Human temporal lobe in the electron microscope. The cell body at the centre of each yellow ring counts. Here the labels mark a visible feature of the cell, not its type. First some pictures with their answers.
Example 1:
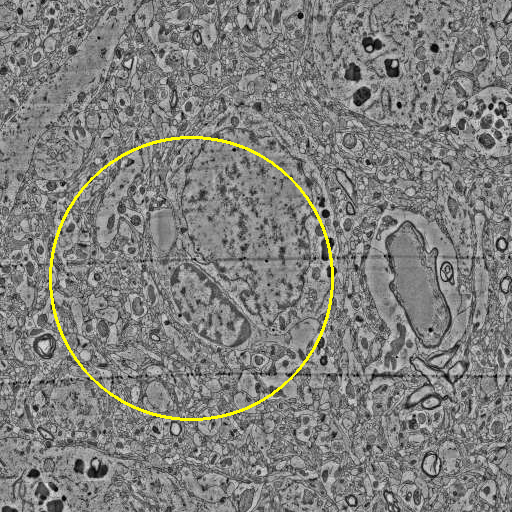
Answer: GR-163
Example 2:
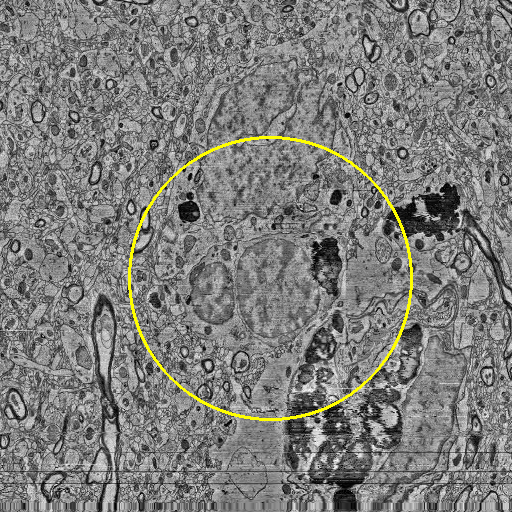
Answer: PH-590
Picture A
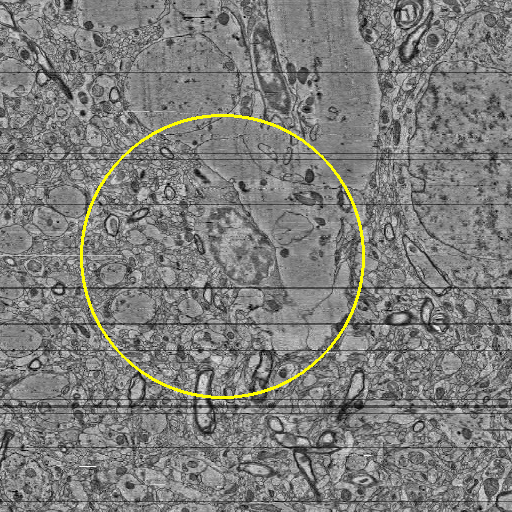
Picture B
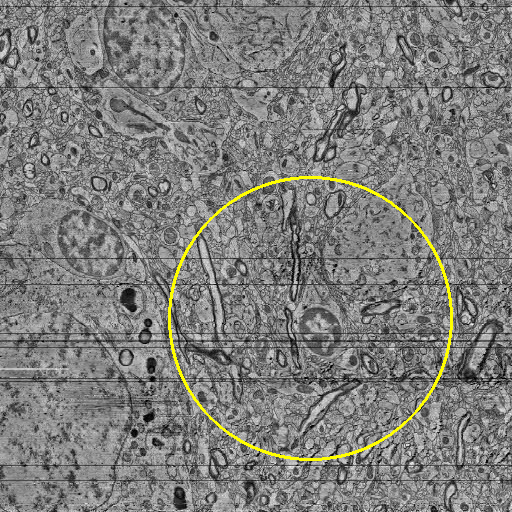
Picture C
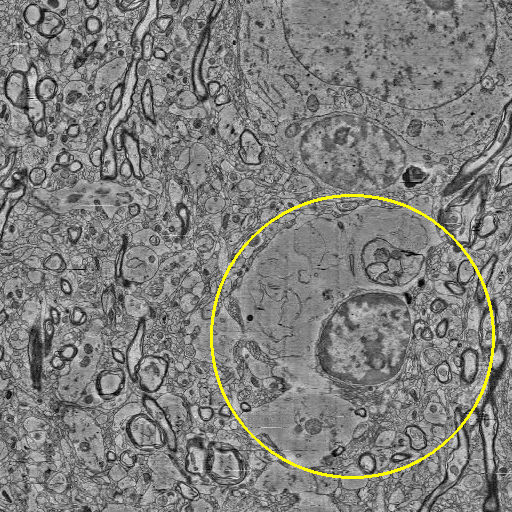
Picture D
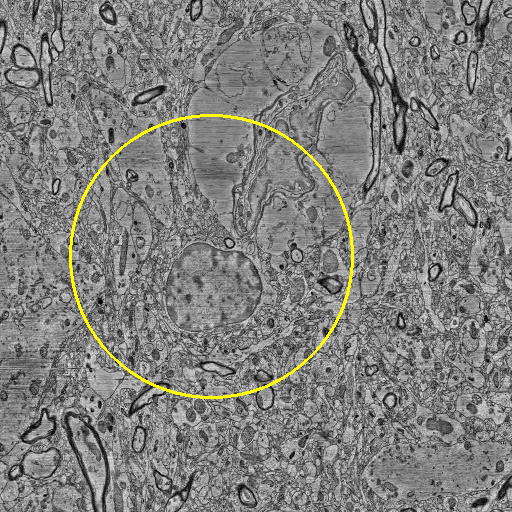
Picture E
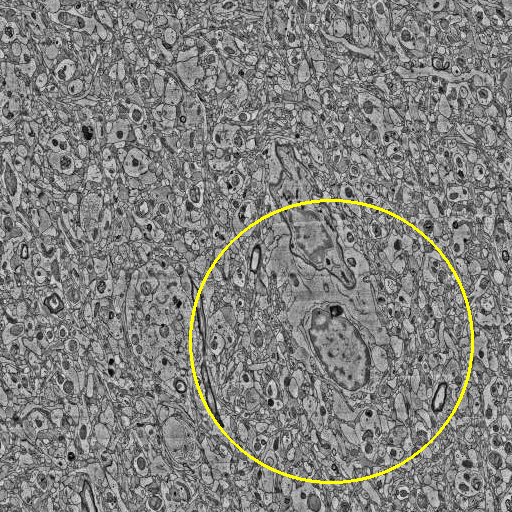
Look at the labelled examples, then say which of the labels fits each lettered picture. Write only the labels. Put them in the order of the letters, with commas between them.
GR-163, PH-590, PH-590, PH-590, GR-163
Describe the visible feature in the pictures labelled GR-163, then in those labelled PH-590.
GR-163: clearly elongated nuclei; PH-590: round or nearly round nuclei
